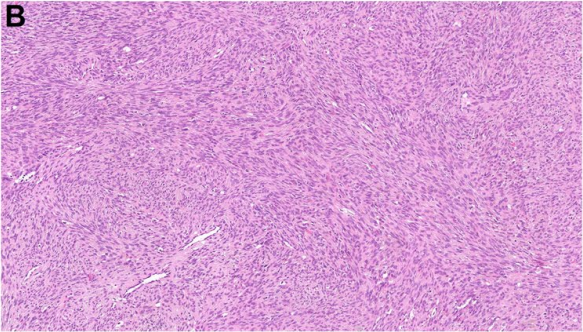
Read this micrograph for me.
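Uniform spindled cells fill the field at moderate to high density, with elongated, tapering nuclei and pale pink, ill-defined cytoplasm. The cells run in sweeping bundles that cross one another in places. Nuclei are similar in size and shape, with little atypia. A few thin-walled, slit-like vessels are scattered among the cells.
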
